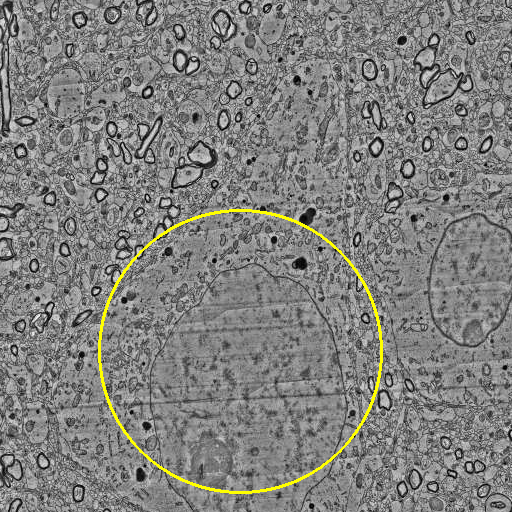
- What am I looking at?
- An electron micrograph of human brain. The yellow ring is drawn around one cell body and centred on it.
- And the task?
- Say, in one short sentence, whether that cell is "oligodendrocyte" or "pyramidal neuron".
The cell in the middle of the ring is a pyramidal neuron.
